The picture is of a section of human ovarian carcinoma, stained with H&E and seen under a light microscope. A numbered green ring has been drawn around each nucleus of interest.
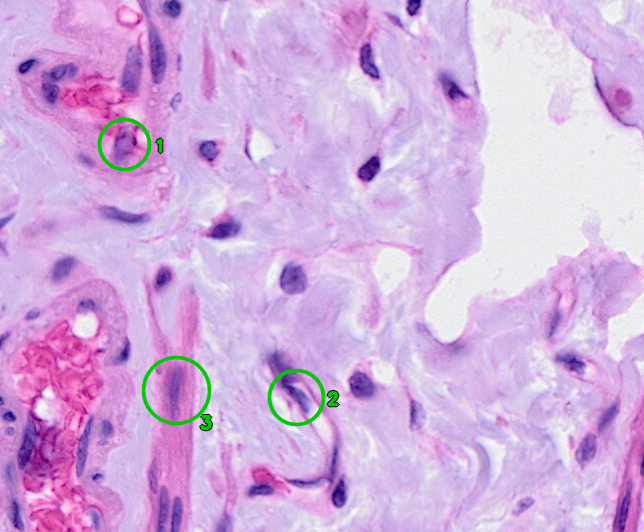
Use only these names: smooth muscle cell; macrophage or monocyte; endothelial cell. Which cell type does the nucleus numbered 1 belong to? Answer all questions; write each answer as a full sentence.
The one labeled 1 is an endothelial cell, to put it simply.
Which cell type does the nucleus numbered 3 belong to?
The label 3 in this section denotes a smooth muscle cell.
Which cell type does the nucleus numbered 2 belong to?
Here, the cell given the number 2 is an endothelial cell.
